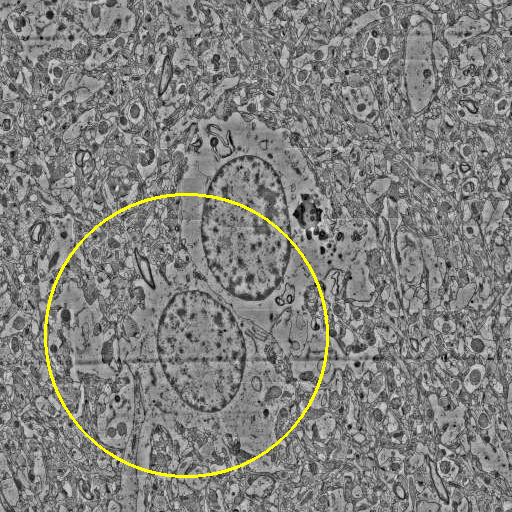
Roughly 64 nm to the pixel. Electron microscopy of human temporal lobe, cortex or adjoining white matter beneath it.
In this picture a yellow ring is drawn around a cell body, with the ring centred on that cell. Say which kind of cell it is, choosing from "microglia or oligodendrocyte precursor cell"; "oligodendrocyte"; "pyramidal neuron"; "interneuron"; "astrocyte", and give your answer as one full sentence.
Here it is an astrocyte that sits at the centre of the drawn yellow ring.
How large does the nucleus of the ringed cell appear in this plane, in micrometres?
About 8 micrometres by about 5 micrometres in this plane.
